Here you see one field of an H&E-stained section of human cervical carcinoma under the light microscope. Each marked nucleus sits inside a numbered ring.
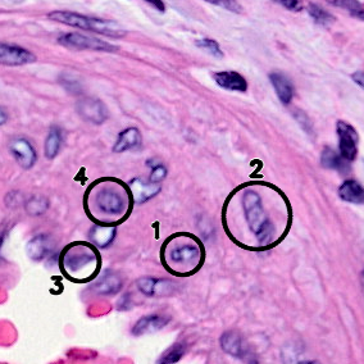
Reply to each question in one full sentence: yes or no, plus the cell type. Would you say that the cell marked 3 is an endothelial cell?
Yes, the number 3 belongs to an endothelial cell.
